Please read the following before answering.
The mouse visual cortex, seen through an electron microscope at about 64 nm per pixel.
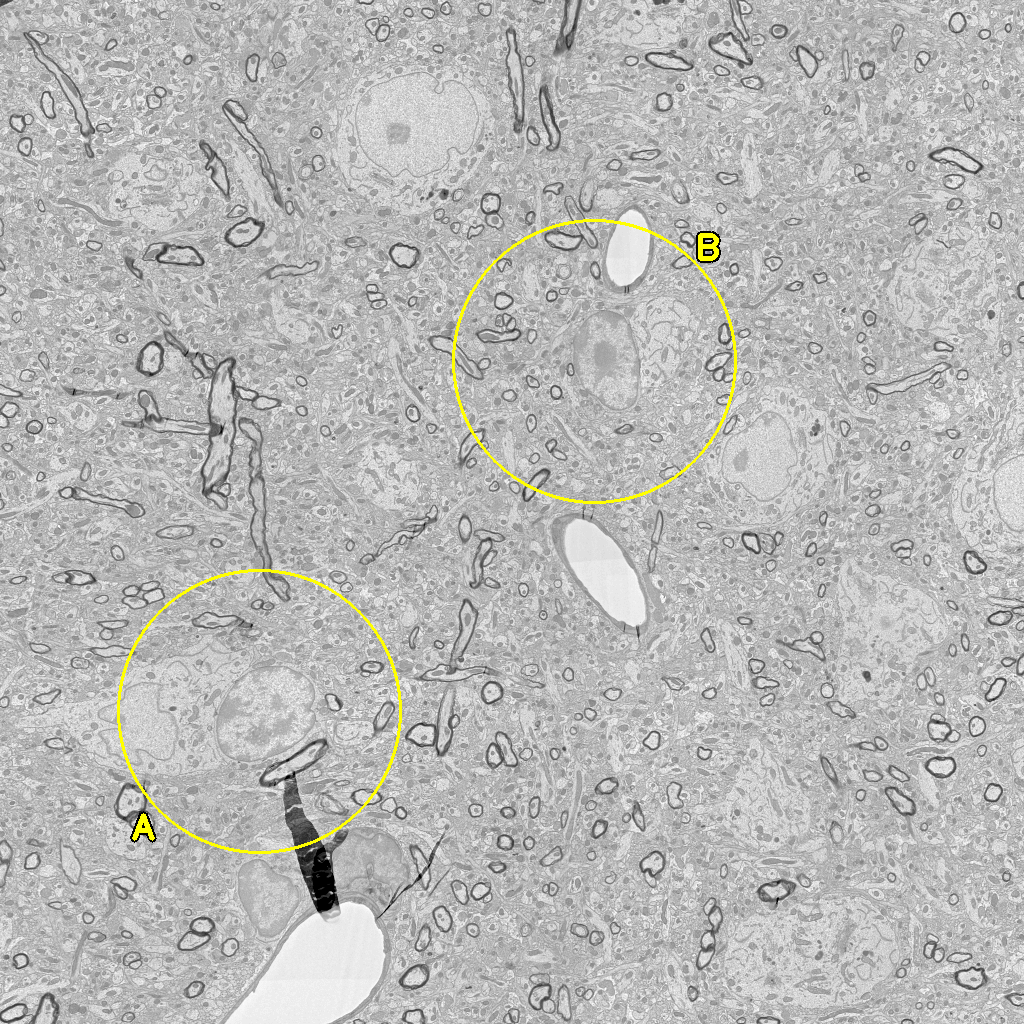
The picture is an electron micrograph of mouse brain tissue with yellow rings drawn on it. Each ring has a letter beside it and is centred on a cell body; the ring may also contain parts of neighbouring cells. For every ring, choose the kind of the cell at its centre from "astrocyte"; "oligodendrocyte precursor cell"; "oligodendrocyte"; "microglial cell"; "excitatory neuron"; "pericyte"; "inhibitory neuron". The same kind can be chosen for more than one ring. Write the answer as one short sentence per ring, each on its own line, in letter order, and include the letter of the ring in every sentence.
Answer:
The kind of cell at the centre of ring A is an oligodendrocyte.
The kind of cell at the centre of ring B is an oligodendrocyte.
